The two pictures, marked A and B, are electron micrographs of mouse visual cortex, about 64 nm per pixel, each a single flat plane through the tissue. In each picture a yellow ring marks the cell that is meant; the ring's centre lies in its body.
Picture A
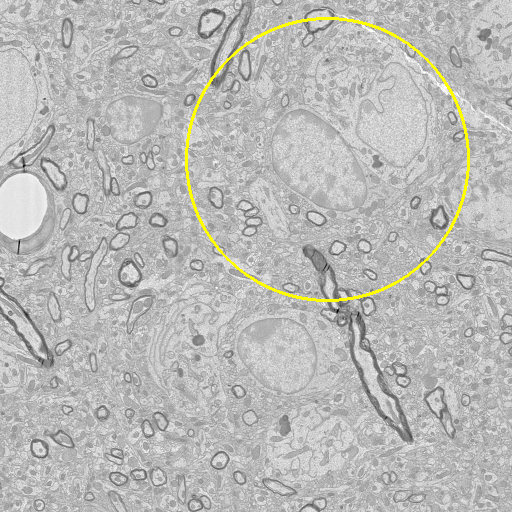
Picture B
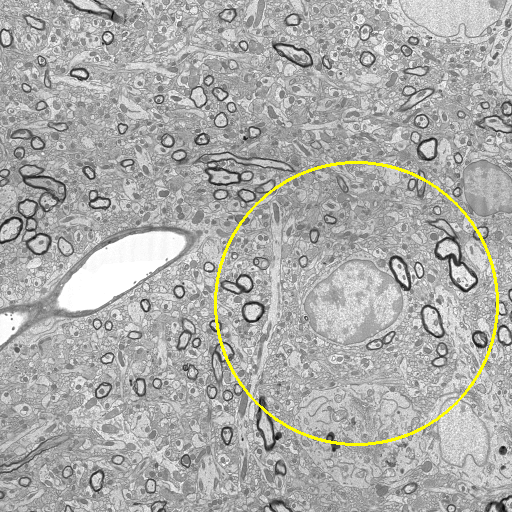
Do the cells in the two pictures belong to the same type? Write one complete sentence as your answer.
Yes, both cells are oligodendrocytes.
